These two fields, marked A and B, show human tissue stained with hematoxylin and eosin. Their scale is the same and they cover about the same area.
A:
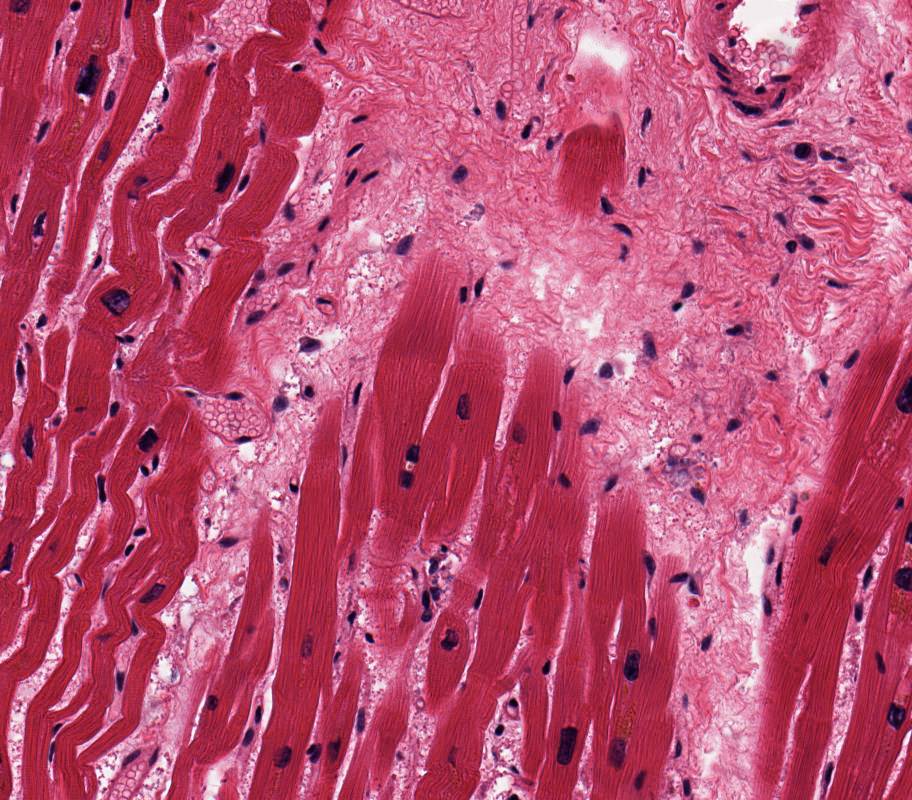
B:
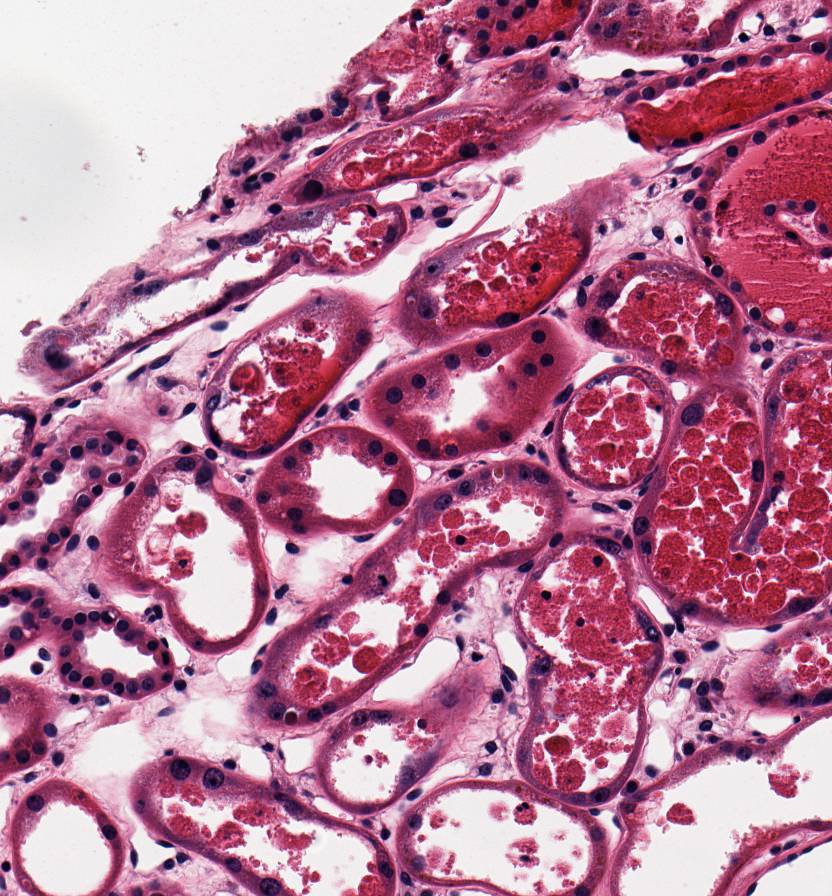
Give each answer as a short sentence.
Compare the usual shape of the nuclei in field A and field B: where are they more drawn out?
The nuclei are more elongated in field A.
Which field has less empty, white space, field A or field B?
It is field A that stained tissue fills more completely.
